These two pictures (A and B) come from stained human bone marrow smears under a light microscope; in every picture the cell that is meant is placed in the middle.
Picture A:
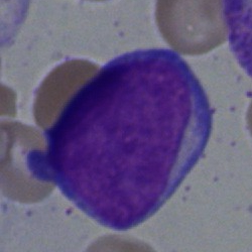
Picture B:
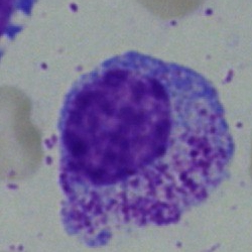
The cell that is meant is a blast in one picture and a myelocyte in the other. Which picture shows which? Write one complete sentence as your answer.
Picture A shows a blast and picture B shows a myelocyte.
